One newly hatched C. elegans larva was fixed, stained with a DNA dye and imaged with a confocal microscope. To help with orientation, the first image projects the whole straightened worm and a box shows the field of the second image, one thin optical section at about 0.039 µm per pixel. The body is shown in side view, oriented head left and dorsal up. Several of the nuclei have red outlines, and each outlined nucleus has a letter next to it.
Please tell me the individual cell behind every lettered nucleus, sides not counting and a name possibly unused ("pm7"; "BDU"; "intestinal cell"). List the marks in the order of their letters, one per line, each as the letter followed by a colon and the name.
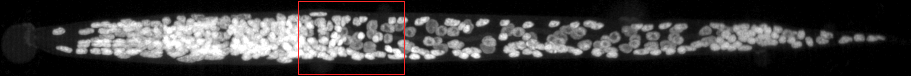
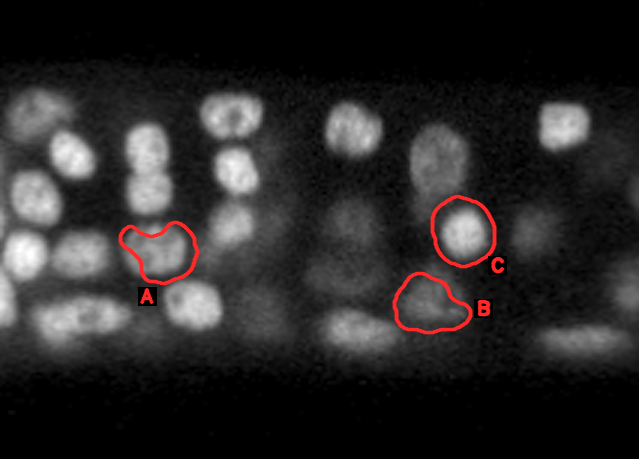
A: pm7
B: intestinal cell
C: BDU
